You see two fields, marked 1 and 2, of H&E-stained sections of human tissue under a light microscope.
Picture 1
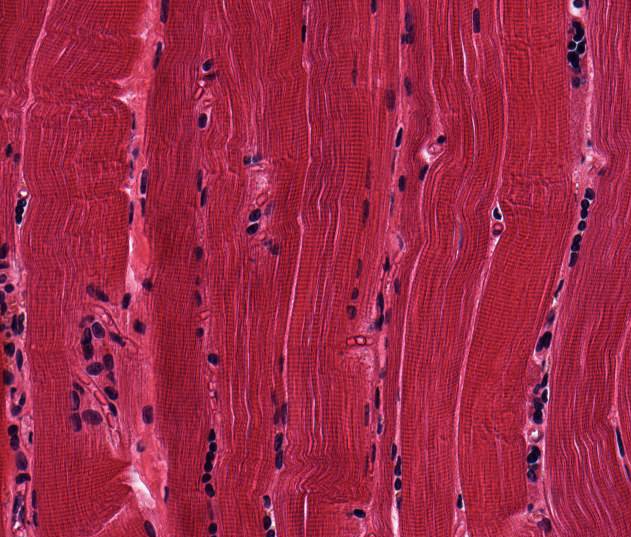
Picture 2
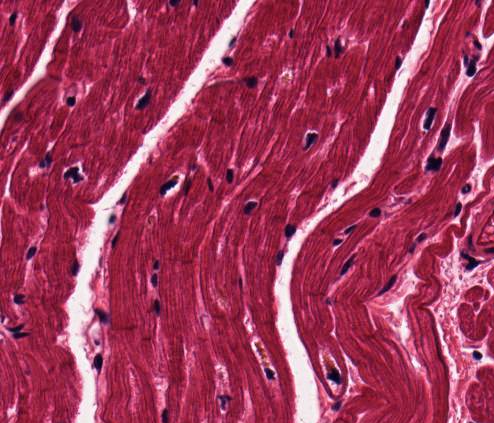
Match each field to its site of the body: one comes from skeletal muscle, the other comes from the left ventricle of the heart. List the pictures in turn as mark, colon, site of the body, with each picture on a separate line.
1: skeletal muscle
2: left ventricle of the heart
